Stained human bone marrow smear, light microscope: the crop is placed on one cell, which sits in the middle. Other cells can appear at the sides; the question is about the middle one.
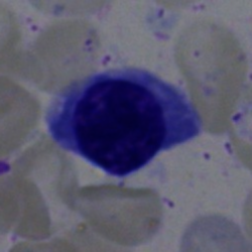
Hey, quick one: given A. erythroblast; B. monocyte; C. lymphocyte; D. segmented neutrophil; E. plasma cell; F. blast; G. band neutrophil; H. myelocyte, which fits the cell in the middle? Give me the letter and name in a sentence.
According to option A, which is correct, the cell in the middle is an erythroblast.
